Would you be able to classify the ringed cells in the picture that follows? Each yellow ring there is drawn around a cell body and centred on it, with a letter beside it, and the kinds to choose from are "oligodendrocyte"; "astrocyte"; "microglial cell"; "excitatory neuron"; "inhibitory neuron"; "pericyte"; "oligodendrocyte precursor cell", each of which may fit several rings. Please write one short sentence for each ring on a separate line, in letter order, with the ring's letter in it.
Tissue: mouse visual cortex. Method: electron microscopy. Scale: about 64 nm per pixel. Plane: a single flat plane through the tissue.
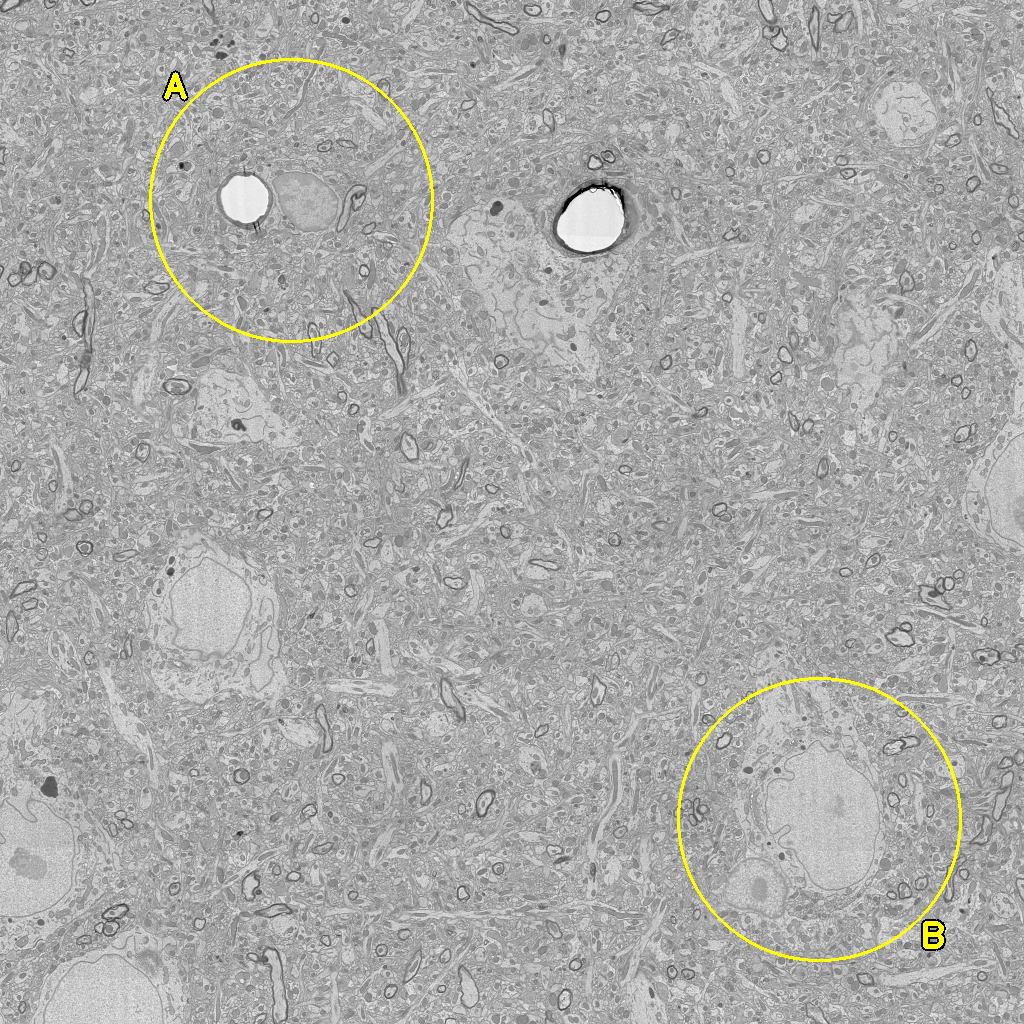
The cell body at the centre of ring A belongs to a microglial cell.
The cell body at the centre of ring B belongs to an excitatory neuron.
